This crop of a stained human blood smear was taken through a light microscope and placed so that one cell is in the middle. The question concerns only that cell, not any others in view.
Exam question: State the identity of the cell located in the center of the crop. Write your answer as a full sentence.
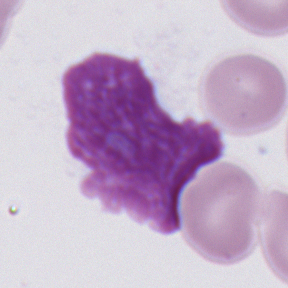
The central element of this crop is a cell, namely a smudge cell.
